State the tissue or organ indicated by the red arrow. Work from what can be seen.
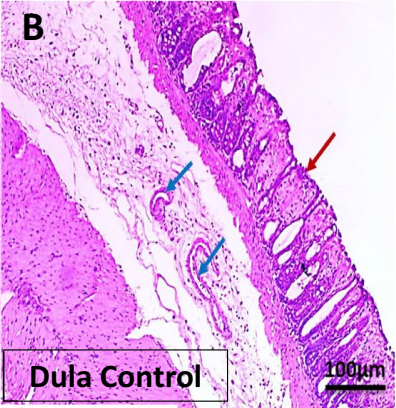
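Colonic mucosa. The arrow points to a layer of tubular glands at the surface. The glands are cut lengthwise and lie in parallel.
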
